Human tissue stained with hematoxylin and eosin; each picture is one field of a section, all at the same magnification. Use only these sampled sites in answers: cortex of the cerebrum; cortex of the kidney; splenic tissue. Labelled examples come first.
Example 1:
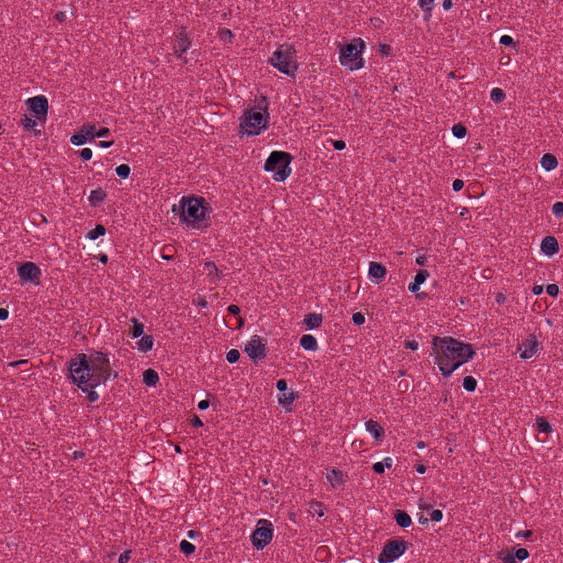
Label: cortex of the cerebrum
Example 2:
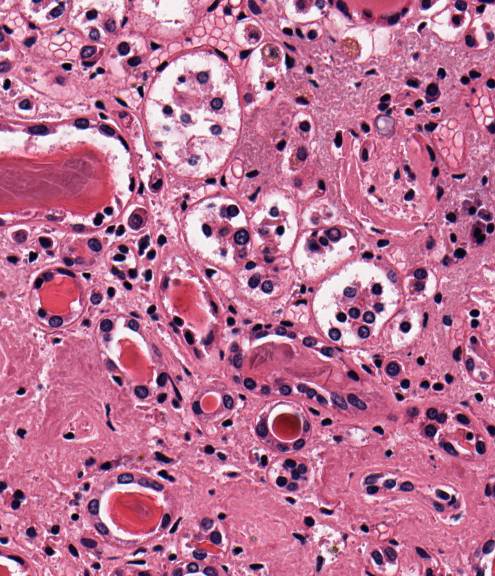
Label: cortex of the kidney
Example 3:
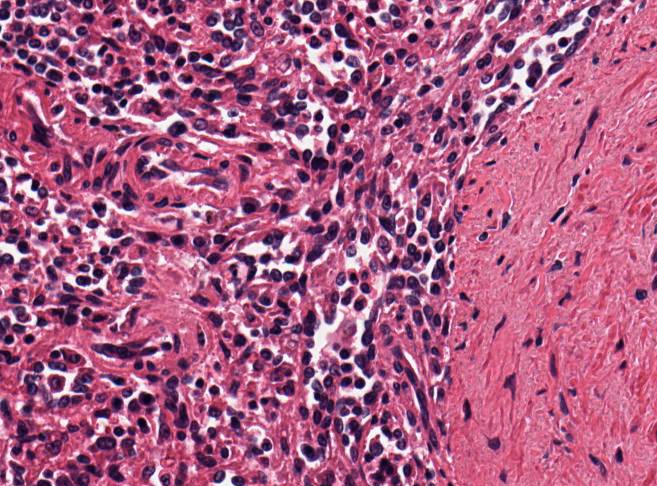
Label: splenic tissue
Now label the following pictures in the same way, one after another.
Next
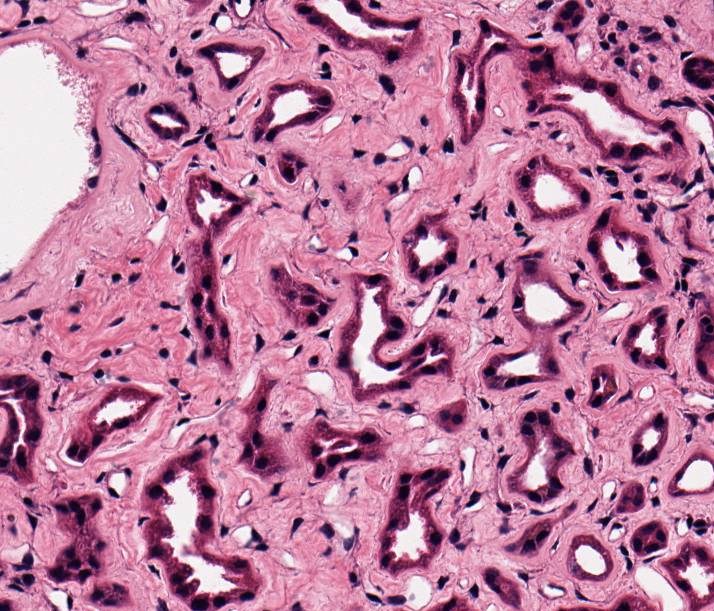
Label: cortex of the kidney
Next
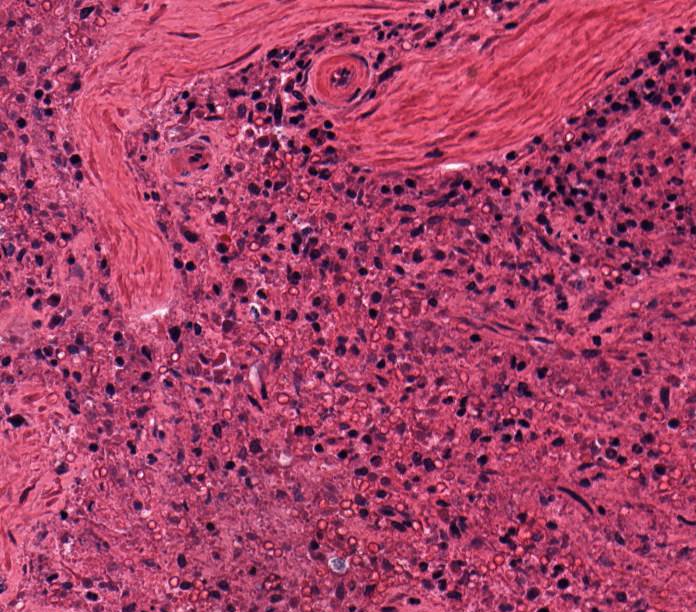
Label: splenic tissue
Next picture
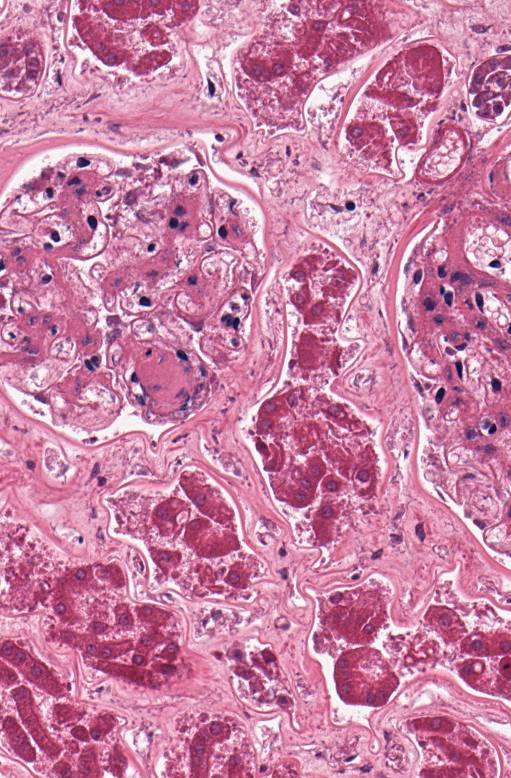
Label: cortex of the kidney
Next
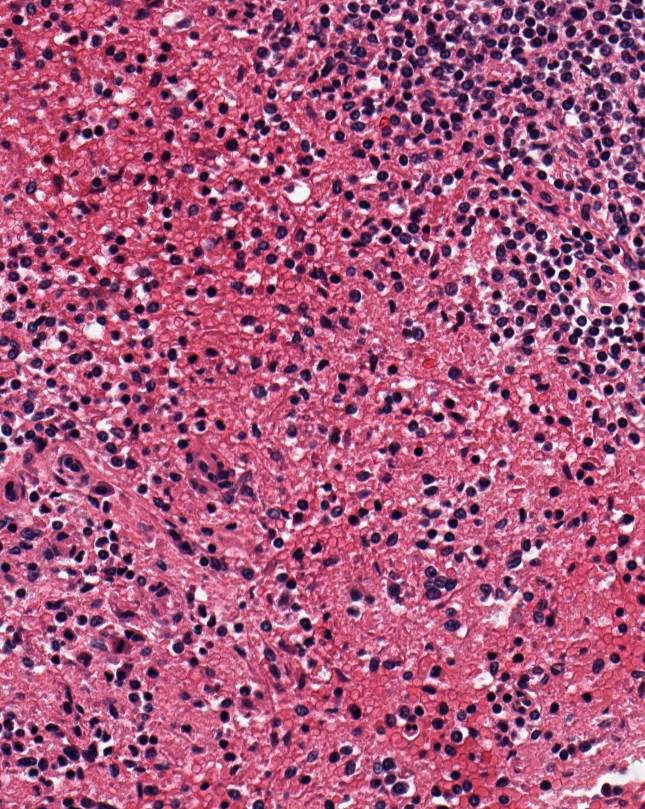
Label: splenic tissue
